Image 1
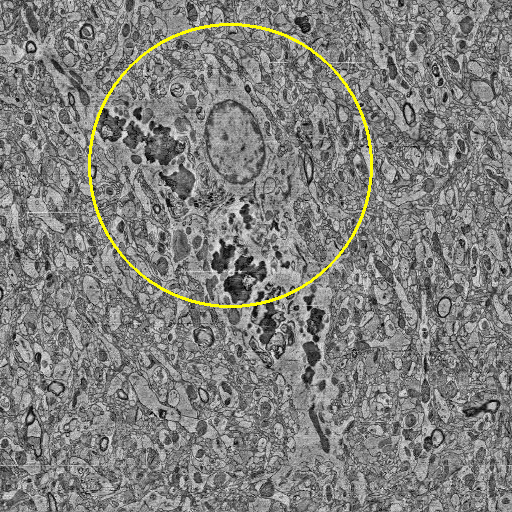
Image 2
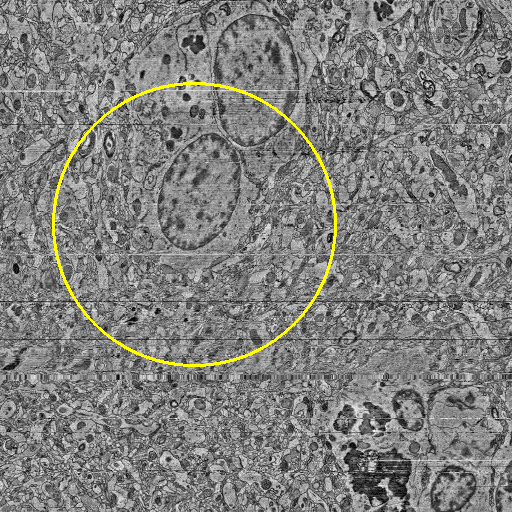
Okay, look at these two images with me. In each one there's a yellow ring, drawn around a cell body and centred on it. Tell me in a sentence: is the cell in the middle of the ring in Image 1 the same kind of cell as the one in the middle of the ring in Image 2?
Yes, they're the same kind of cell.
